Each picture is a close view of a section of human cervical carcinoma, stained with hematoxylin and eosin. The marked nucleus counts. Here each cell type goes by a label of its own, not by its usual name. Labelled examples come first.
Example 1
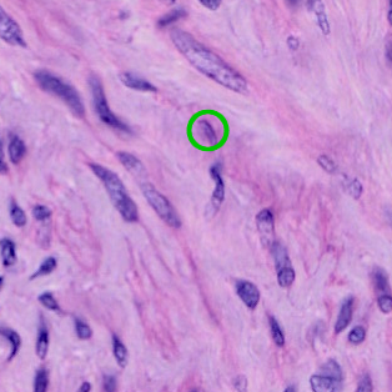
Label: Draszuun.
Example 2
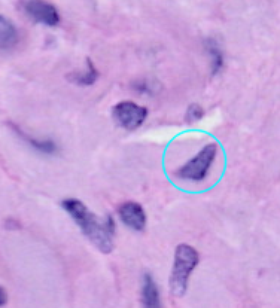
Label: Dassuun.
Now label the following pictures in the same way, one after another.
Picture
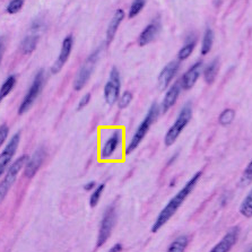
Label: Draszuun.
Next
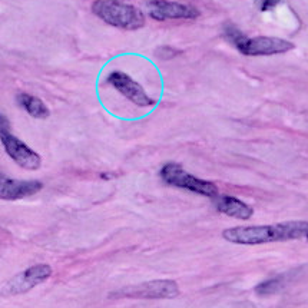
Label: Dassuun.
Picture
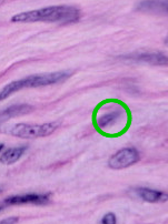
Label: Draszuun.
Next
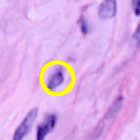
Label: Dassuun.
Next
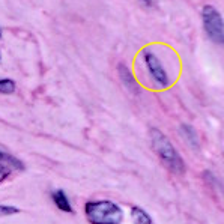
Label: Draszuun.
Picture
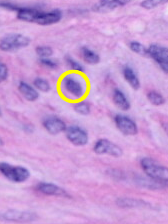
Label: Draszuun.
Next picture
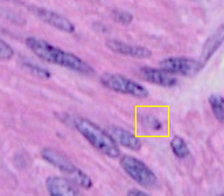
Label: Draszuun.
